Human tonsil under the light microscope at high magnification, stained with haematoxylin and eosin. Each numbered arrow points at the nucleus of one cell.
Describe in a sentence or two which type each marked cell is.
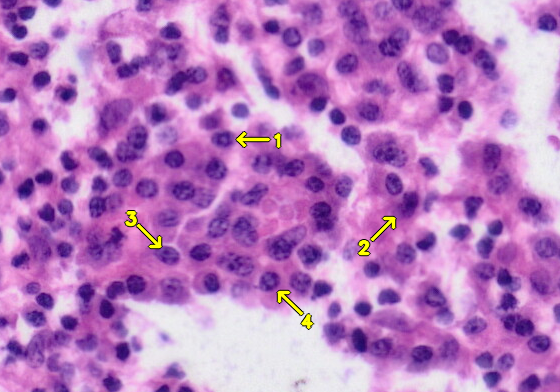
Cell 1 is a plasma cell, cell 2 is a squamous epithelial cell, cell 3 is a plasma cell and cell 4 is a plasma cell.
